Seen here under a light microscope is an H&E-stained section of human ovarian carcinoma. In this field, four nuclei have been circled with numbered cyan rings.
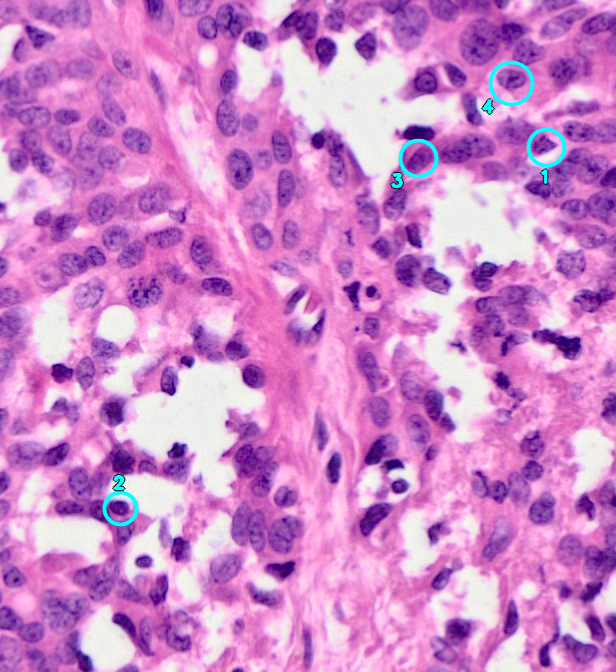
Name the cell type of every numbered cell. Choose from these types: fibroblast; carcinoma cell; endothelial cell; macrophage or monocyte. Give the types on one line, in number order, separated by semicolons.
carcinoma cell; carcinoma cell; carcinoma cell; macrophage or monocyte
